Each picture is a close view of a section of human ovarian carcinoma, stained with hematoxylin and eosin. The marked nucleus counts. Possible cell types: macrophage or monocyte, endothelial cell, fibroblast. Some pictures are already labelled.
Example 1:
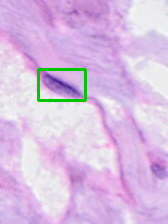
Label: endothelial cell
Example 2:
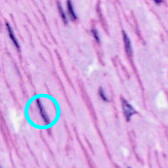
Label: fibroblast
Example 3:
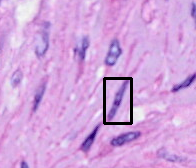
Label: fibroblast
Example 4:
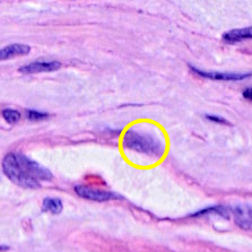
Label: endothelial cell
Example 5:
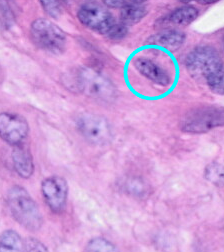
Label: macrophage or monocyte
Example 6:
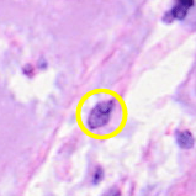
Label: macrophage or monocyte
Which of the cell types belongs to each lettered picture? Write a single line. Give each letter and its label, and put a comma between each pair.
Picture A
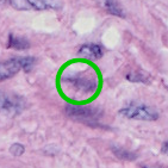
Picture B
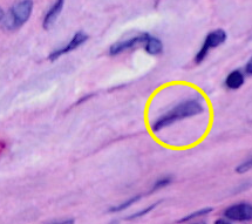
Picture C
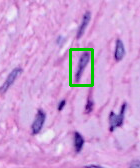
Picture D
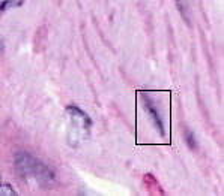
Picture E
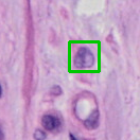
A fibroblast, B fibroblast, C fibroblast, D fibroblast, E macrophage or monocyte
